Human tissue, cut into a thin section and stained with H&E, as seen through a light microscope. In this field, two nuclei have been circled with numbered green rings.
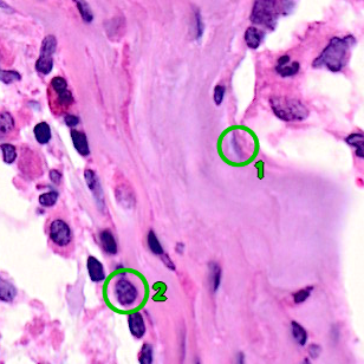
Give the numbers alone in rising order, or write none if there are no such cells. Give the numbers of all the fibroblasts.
1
